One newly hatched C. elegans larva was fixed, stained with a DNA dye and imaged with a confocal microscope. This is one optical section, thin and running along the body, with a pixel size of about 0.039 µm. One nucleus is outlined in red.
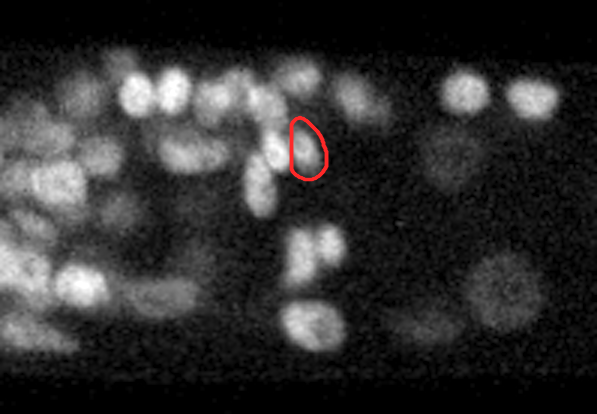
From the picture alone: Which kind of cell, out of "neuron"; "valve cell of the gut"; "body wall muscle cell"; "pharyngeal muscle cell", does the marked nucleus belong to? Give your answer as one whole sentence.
This is the nucleus of a valve cell of the gut.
